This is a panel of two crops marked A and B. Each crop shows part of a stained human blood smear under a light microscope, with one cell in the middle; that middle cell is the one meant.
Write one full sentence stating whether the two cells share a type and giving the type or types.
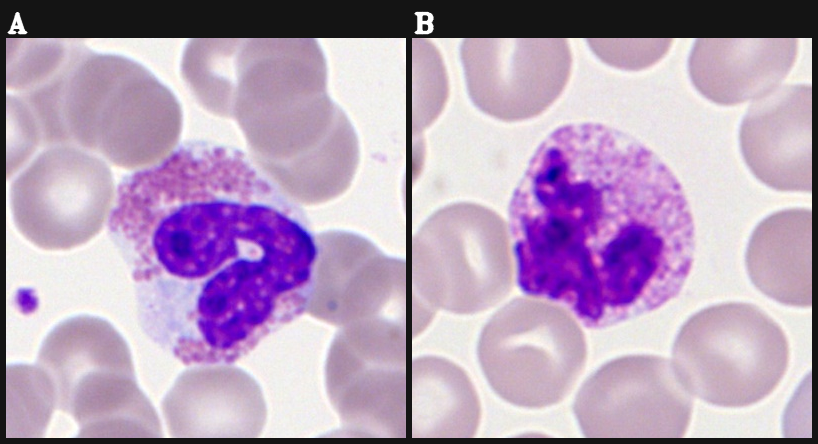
No, at the centre of crop A is an eosinophil, and at the centre of crop B is a basophil.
